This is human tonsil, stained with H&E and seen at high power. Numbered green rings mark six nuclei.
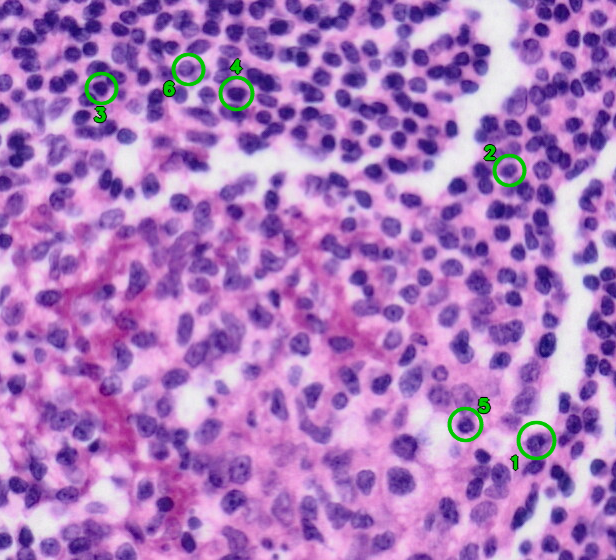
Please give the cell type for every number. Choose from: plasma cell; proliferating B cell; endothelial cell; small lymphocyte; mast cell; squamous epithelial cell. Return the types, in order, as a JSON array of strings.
["proliferating B cell", "small lymphocyte", "small lymphocyte", "small lymphocyte", "proliferating B cell", "small lymphocyte"]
